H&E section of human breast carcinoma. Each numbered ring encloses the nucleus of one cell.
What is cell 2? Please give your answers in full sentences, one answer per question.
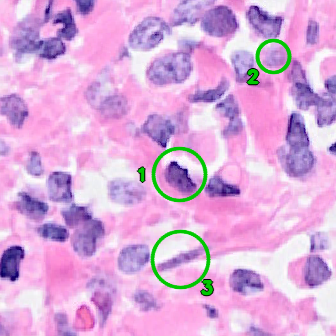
Nucleus 2 in this section belongs to a carcinoma cell.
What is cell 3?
Cell 3, as marked in the section, is a fibroblast.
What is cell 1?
The cell that bears the number 1 is a carcinoma cell.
